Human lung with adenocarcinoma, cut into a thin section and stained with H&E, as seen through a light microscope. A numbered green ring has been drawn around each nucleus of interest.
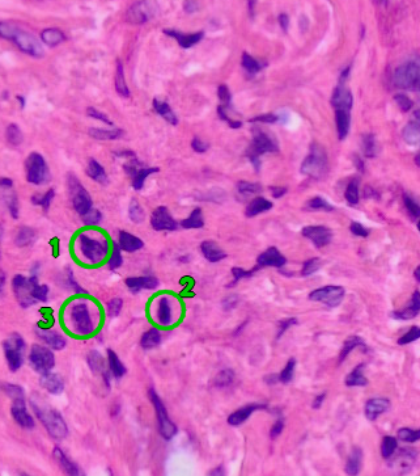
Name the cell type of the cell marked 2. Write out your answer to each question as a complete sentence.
The cell indicated with the number 2 is classed as a lymphocyte.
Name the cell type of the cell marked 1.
The cell that carries the label 1 is a plasma cell.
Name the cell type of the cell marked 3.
Number 3 is placed on a plasma cell here.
